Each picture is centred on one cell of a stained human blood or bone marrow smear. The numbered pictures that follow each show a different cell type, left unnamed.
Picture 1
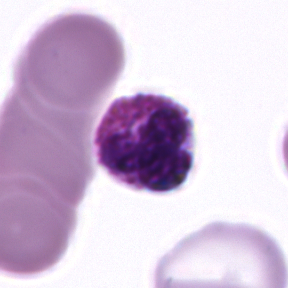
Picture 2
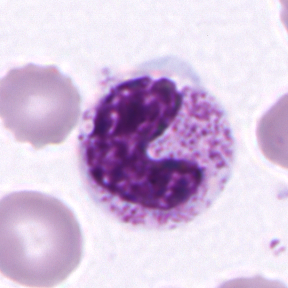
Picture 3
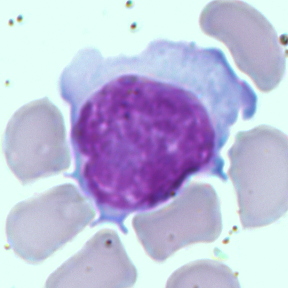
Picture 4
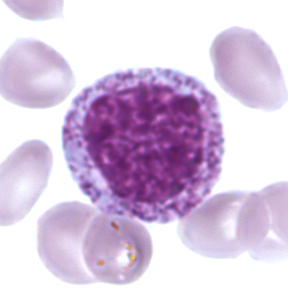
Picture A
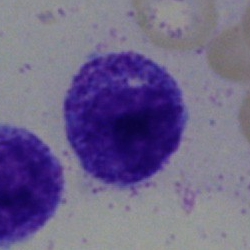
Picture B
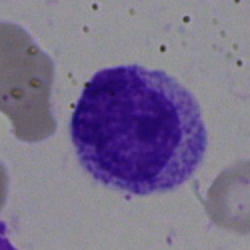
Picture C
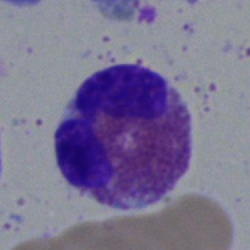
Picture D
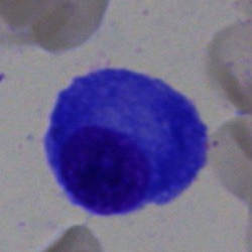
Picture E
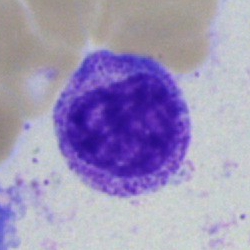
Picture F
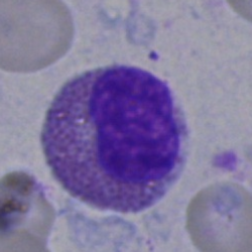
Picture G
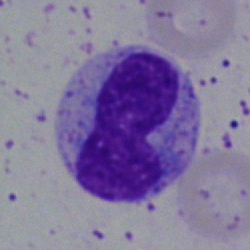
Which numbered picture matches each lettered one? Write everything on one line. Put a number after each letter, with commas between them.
A 4, B 4, C 1, D 3, E 4, F 1, G 2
